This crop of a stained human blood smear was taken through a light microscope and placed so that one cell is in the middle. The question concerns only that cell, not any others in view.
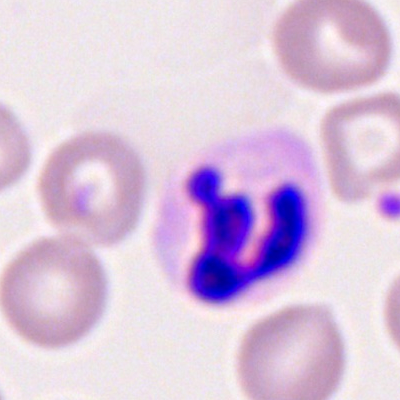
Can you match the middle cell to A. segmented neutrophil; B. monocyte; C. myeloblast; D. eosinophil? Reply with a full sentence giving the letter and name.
Occupying the middle of the crop is a segmented neutrophil, hence option A is correct.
